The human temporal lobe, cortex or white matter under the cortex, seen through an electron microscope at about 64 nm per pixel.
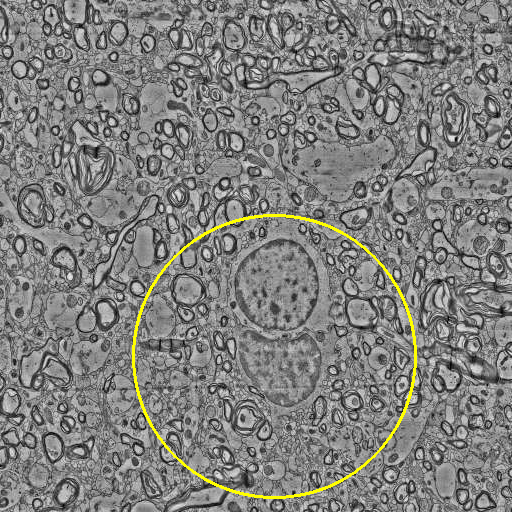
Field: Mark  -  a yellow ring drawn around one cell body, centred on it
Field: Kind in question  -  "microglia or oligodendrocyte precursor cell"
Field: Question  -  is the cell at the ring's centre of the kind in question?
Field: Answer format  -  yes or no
no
